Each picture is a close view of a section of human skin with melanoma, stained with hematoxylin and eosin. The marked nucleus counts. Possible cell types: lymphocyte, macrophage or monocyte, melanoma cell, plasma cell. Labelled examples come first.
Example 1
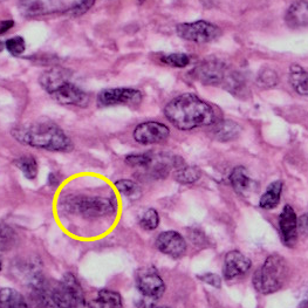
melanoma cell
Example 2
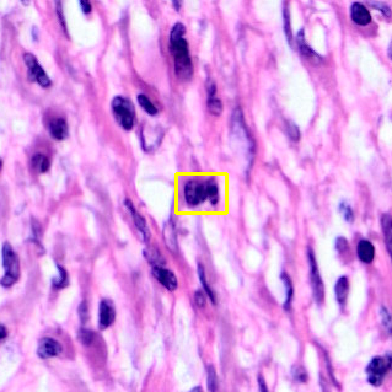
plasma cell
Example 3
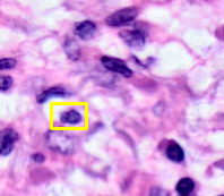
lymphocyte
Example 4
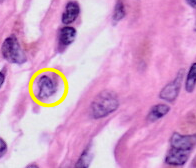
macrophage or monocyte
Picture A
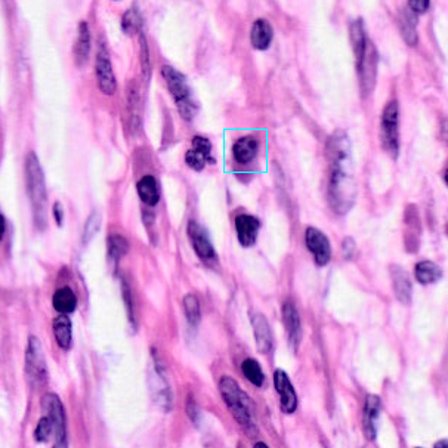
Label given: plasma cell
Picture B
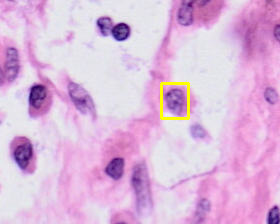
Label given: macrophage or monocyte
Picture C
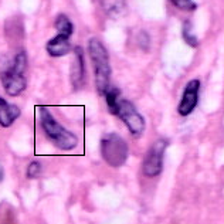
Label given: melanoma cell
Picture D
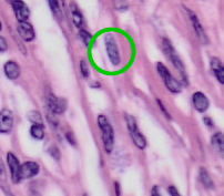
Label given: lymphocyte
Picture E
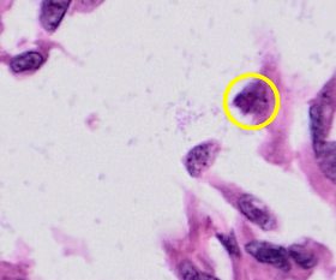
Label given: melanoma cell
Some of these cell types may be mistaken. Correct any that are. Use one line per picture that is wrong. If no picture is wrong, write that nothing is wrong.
C: not melanoma cell but macrophage or monocyte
